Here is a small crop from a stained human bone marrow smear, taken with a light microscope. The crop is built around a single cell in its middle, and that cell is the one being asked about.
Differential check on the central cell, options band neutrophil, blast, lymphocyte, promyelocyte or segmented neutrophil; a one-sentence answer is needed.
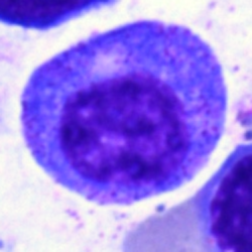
The cell at the middle of the frame should be recorded as a promyelocyte.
